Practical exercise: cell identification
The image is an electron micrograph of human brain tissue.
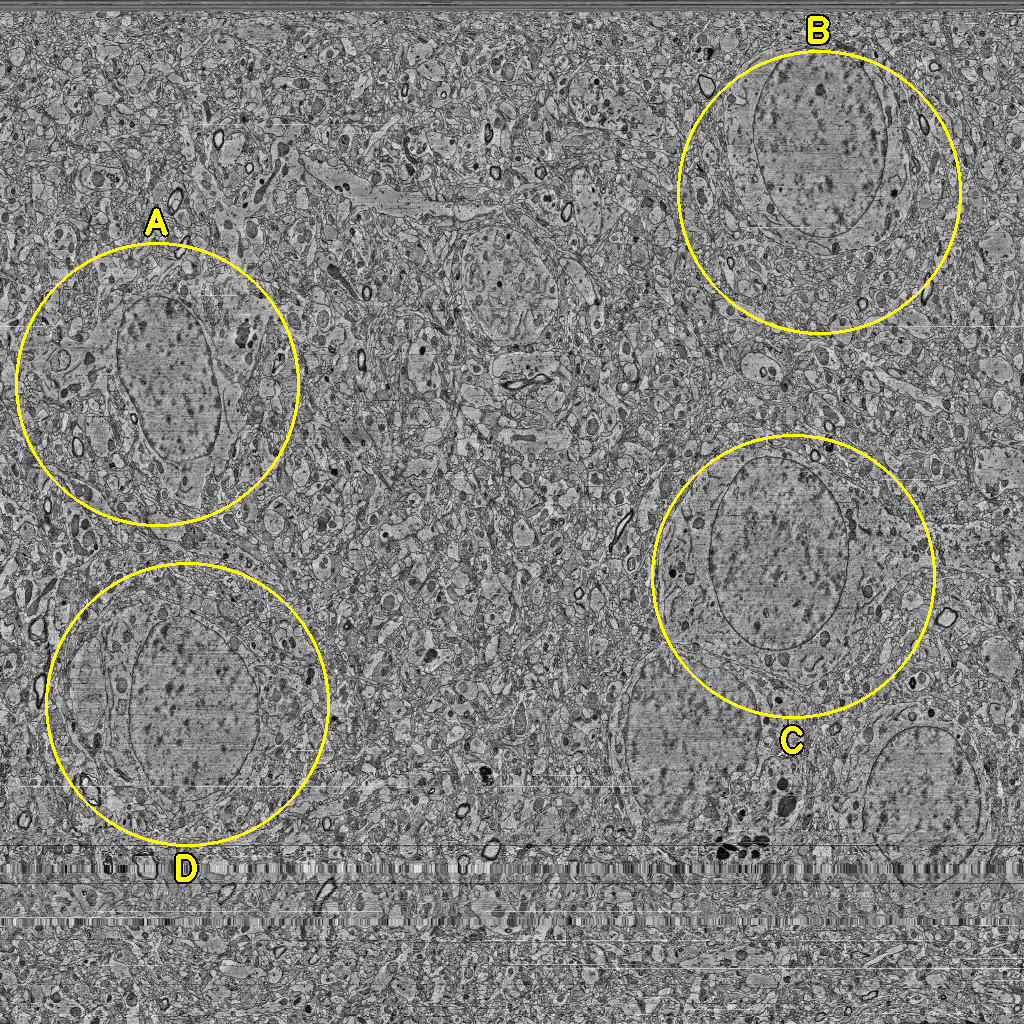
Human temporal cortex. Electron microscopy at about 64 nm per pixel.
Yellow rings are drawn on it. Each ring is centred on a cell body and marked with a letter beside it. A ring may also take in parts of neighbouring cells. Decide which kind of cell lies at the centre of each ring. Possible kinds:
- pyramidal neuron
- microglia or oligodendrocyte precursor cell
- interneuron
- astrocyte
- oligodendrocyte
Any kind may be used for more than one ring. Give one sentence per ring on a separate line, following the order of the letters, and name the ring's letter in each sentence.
The cell in the middle of ring A is an astrocyte.
The cell in the middle of ring B is a pyramidal neuron.
The cell in the middle of ring C is a pyramidal neuron.
The cell in the middle of ring D is a pyramidal neuron.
